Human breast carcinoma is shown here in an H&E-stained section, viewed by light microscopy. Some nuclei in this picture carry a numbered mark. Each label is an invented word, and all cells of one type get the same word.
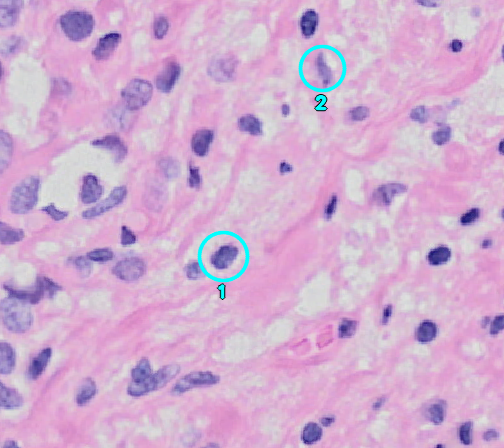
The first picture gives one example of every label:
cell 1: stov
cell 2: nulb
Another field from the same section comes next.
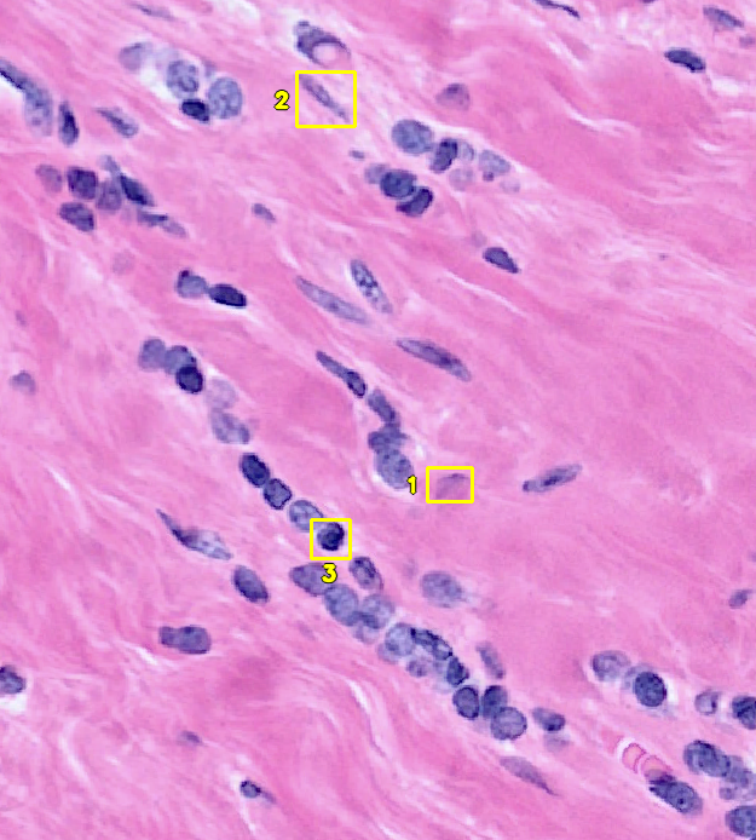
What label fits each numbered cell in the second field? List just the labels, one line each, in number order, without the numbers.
nulb
nulb
stov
